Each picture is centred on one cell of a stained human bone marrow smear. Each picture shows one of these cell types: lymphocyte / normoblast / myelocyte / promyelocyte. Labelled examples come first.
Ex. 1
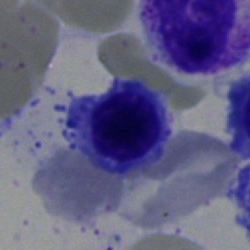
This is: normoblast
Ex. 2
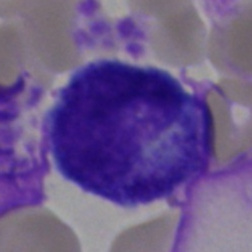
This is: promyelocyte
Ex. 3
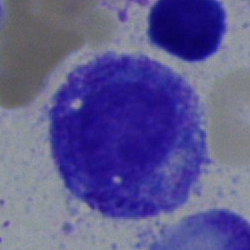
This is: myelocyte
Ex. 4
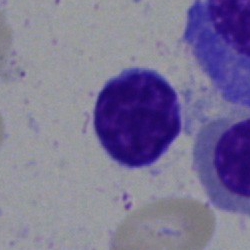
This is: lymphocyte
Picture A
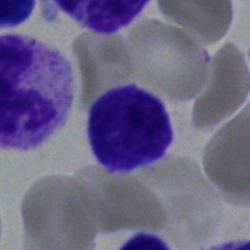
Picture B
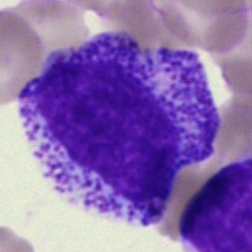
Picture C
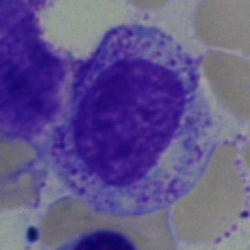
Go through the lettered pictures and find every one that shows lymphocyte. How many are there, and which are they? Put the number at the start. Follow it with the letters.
1, namely A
